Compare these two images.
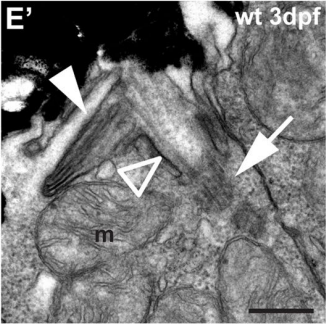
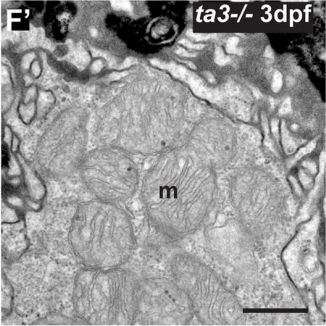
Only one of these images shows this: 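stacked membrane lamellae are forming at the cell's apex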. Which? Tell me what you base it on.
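The first image. Second image: a cluster of mitochondria with no stacked parallel membranes at the apex. First image: several thin parallel membrane lamellae stacked above the mitochondria.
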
